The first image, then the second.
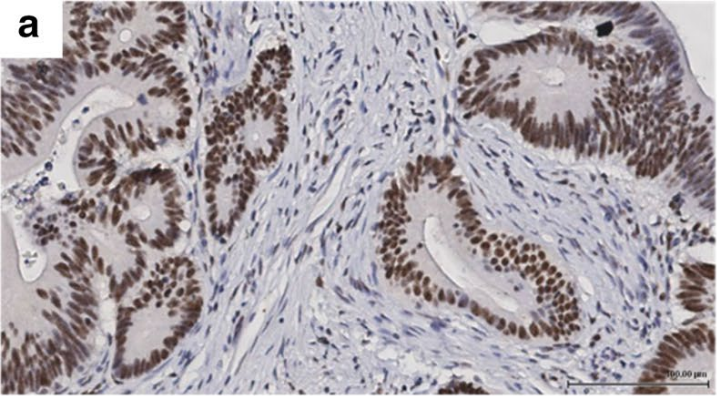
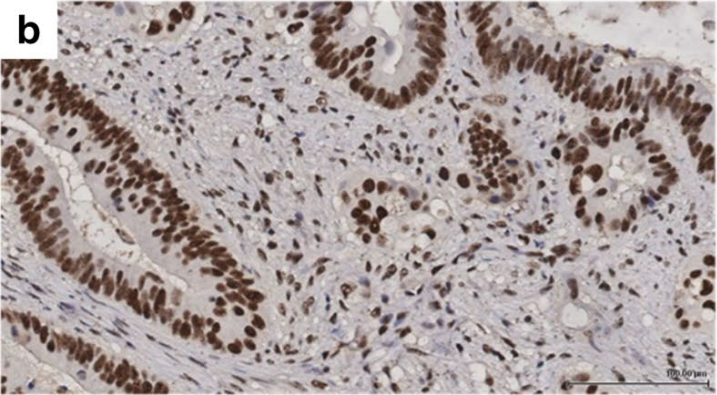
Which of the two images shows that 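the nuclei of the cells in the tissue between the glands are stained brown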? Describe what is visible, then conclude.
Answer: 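Second image: many scattered nuclei between the glands are brown. First image: nuclei between the glands are pale blue, only gland-lining nuclei are brown.
Hence: the second image.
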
